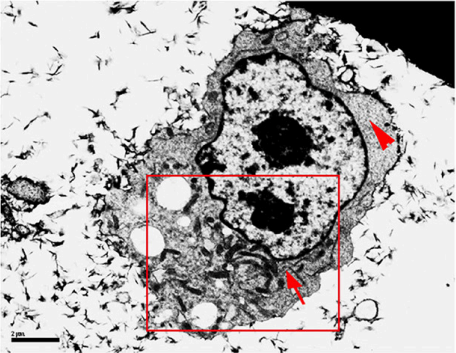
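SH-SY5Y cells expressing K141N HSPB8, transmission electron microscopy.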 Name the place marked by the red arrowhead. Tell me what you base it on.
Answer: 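The arrowhead lies in a rim of pale, fairly uniform cytoplasm beside the nucleus. No dark oval organelles are seen in that rim.
Hence: cellular regions devoid of mitochondria.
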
